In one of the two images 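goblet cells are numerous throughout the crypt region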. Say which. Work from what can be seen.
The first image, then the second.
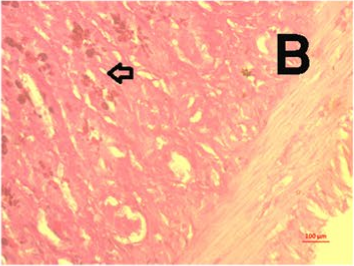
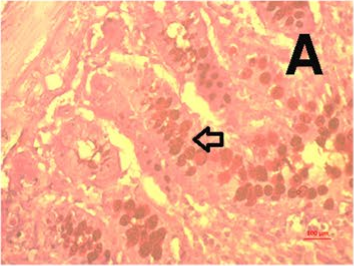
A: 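First image: only a few faint dark cells are scattered in mostly pink tissue. Second image: many dark rounded cells crowd the field in rows and clusters. So: the second image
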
